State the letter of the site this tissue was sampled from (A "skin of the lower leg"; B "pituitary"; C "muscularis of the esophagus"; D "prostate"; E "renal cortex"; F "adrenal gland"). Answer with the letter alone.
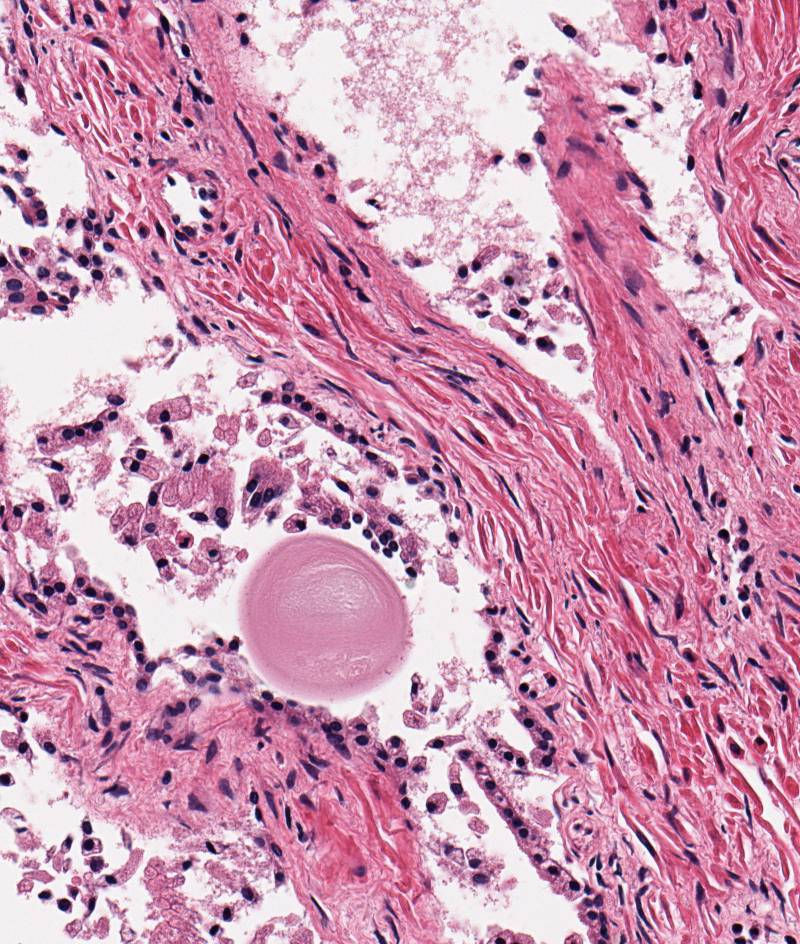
D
